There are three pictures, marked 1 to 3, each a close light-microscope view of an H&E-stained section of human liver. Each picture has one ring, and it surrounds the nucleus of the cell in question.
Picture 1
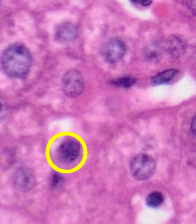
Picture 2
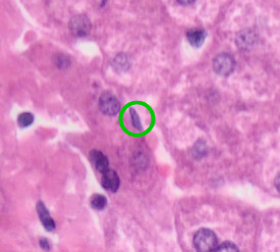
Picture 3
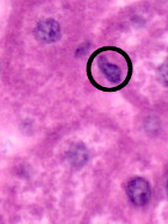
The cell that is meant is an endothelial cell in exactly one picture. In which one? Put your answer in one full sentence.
Picture 2 shows the endothelial cell.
